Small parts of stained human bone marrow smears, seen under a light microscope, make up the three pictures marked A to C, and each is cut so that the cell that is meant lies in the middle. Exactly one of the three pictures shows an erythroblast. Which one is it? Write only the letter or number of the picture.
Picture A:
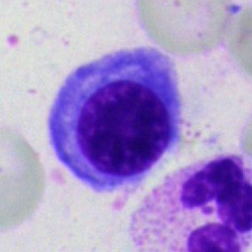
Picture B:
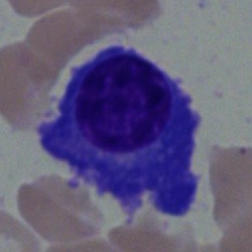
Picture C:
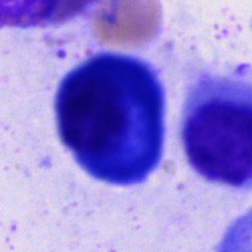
A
